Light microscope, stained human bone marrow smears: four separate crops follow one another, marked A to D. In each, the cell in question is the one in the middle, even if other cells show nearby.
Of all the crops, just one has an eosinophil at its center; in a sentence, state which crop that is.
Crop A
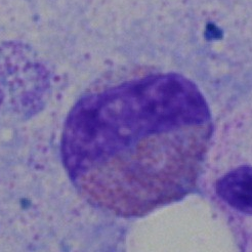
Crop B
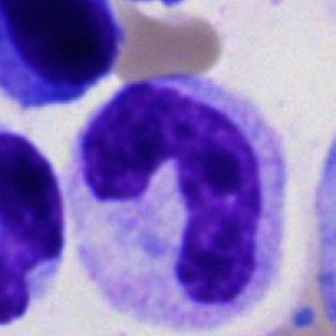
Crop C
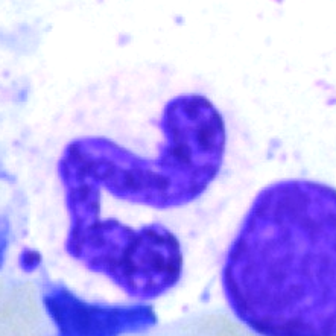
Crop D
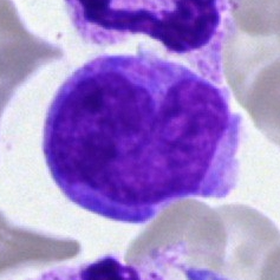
Crop A is the crop featuring an eosinophil at its center.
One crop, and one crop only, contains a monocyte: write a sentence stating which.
Crop D is the one depicting a monocyte.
